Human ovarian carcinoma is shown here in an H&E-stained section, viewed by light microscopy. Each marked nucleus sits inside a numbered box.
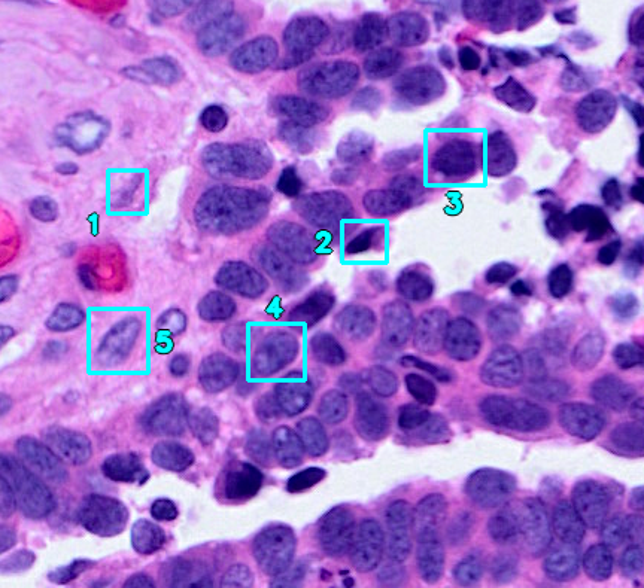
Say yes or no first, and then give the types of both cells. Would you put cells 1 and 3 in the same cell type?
No, cell 1 is a fibroblast; cell 3, by contrast, is a carcinoma cell.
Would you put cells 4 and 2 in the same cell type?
Yes, the pair of cells 4 and 2 are both carcinoma cells.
